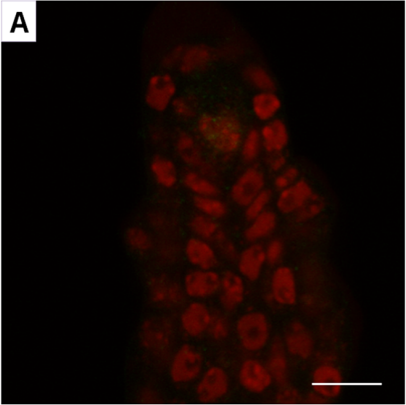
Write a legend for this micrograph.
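A developing ovule primordium with tightly packed small cells whose nuclei appear red. Below the apical outer cell layer lies one enlarged cell with a large, paler nucleus carrying only faint green speckles, set apart from the smaller, densely red nuclei around it.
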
